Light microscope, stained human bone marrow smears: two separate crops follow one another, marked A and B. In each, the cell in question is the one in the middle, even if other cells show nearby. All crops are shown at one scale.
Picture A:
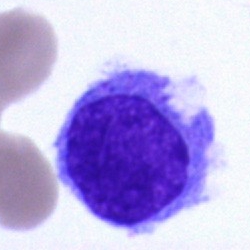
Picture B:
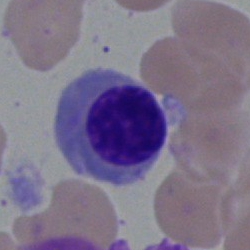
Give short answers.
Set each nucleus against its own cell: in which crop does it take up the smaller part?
B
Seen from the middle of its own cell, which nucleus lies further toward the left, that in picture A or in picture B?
A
